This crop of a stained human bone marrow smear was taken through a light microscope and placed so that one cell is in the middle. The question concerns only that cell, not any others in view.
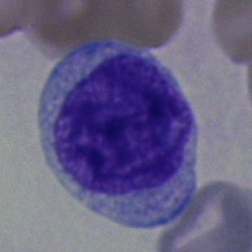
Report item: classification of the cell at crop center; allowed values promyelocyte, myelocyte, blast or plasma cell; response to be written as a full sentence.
Among the cells in view, the one in the middle is a myelocyte.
